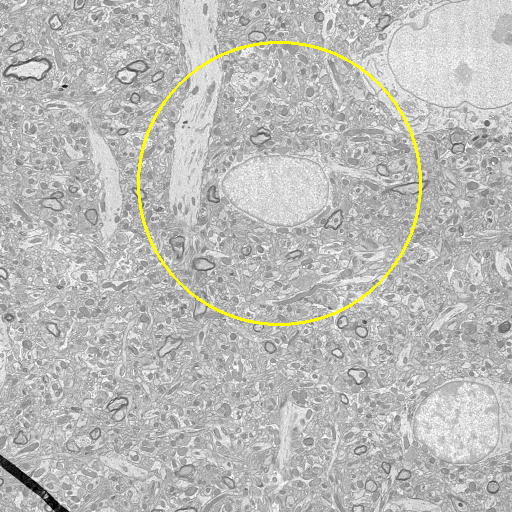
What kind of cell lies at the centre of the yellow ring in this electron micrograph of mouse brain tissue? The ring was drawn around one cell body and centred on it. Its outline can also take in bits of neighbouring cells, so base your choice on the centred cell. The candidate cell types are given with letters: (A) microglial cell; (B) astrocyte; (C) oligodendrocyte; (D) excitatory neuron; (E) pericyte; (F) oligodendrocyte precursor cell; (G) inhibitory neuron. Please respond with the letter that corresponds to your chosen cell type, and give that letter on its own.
B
